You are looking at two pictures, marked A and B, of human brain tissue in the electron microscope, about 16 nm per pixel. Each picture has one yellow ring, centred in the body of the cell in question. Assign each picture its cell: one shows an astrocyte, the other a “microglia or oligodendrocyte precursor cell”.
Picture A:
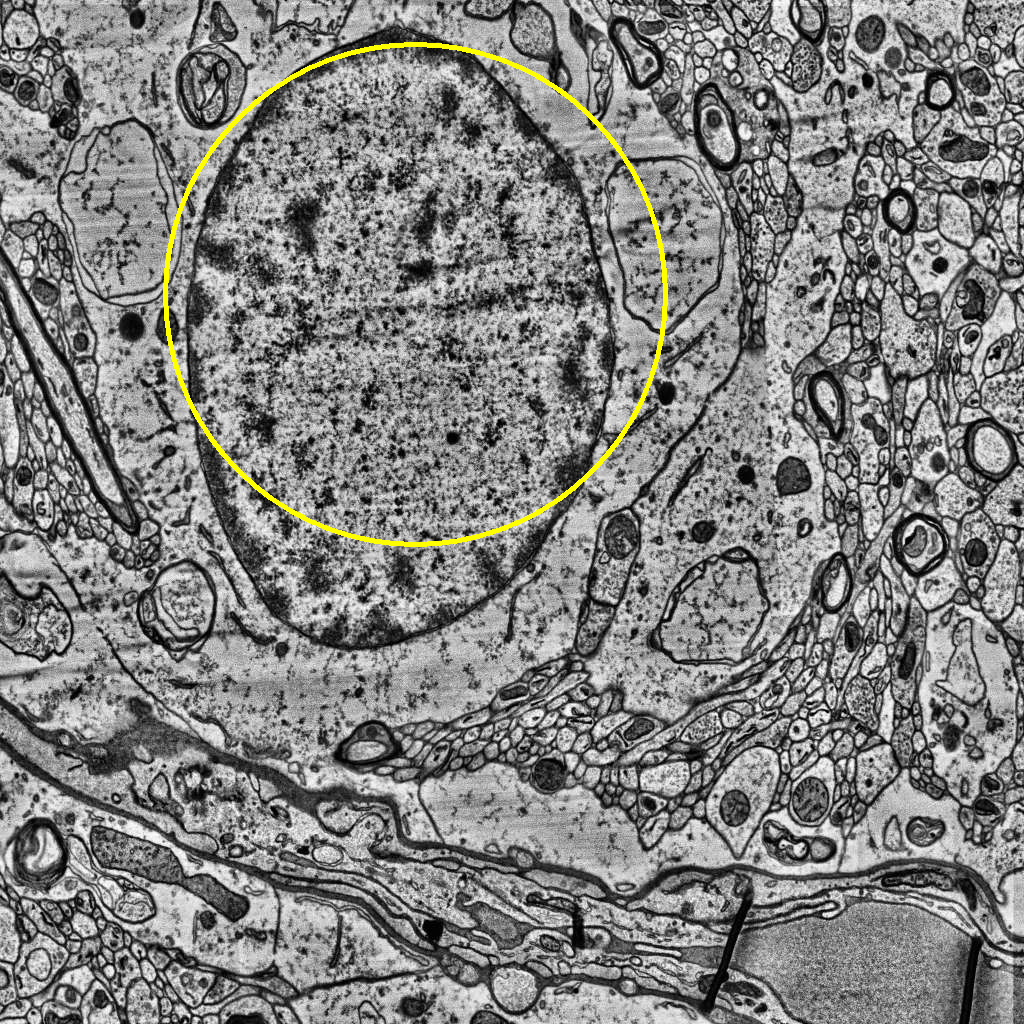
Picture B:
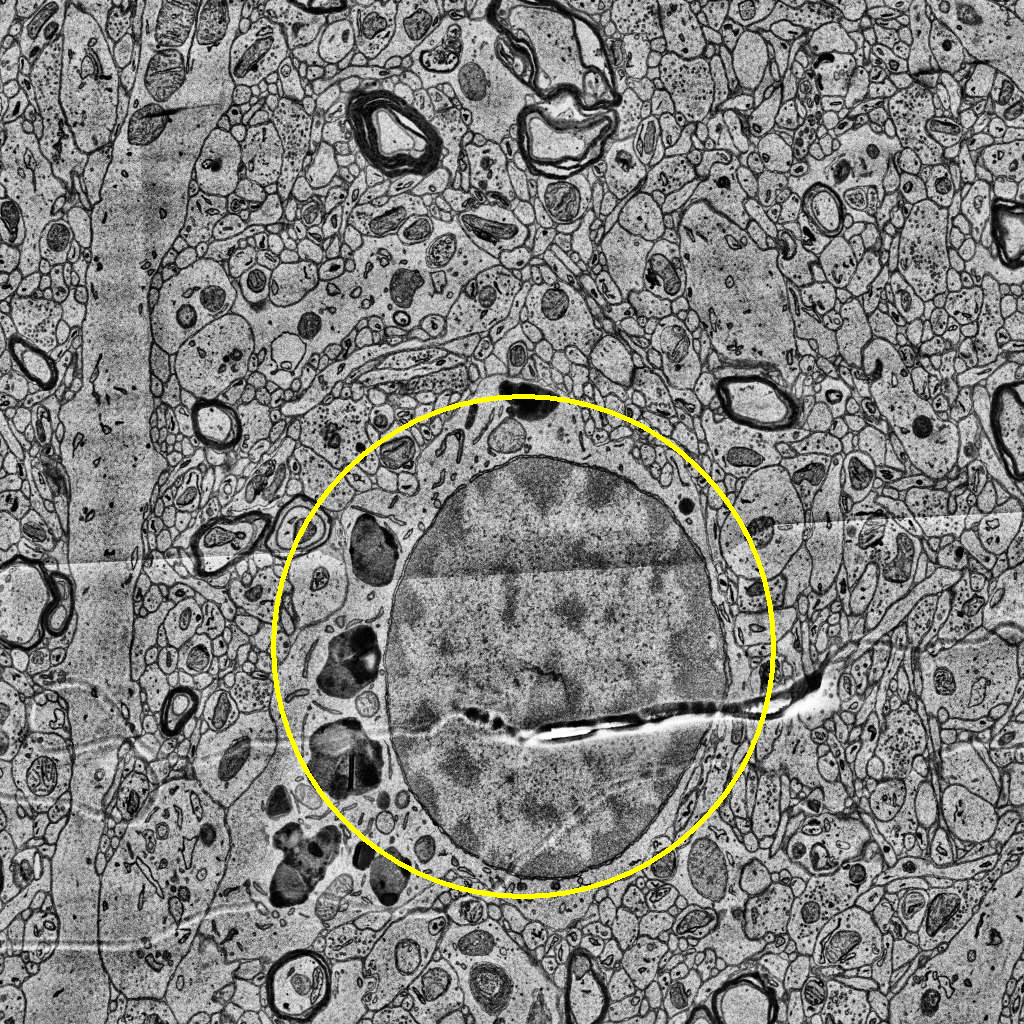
In picture A the cell is an astrocyte; in picture B, a “microglia or oligodendrocyte precursor cell”.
